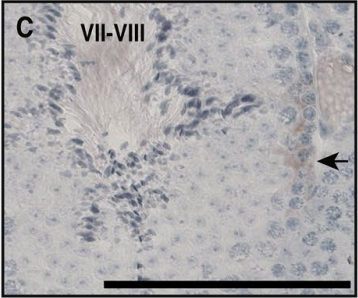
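This is a close view of part of a seminiferous tubule, with its epithelium running from the wall on the right toward the lumen on the upper left. Near the lumen, clusters of small, dark, elongated and hooked nuclei point toward the centre, and a pale fan of fine threads fills the lumen itself. Deeper in the epithelium lie larger round nuclei with a pale, finely speckled chromatin, arranged in several layers. Along the outer edge of the tubule, where the arrow points, a faint brown stain marks a few cells near the base of the epithelium, while most of the section carries only the blue counterstain.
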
